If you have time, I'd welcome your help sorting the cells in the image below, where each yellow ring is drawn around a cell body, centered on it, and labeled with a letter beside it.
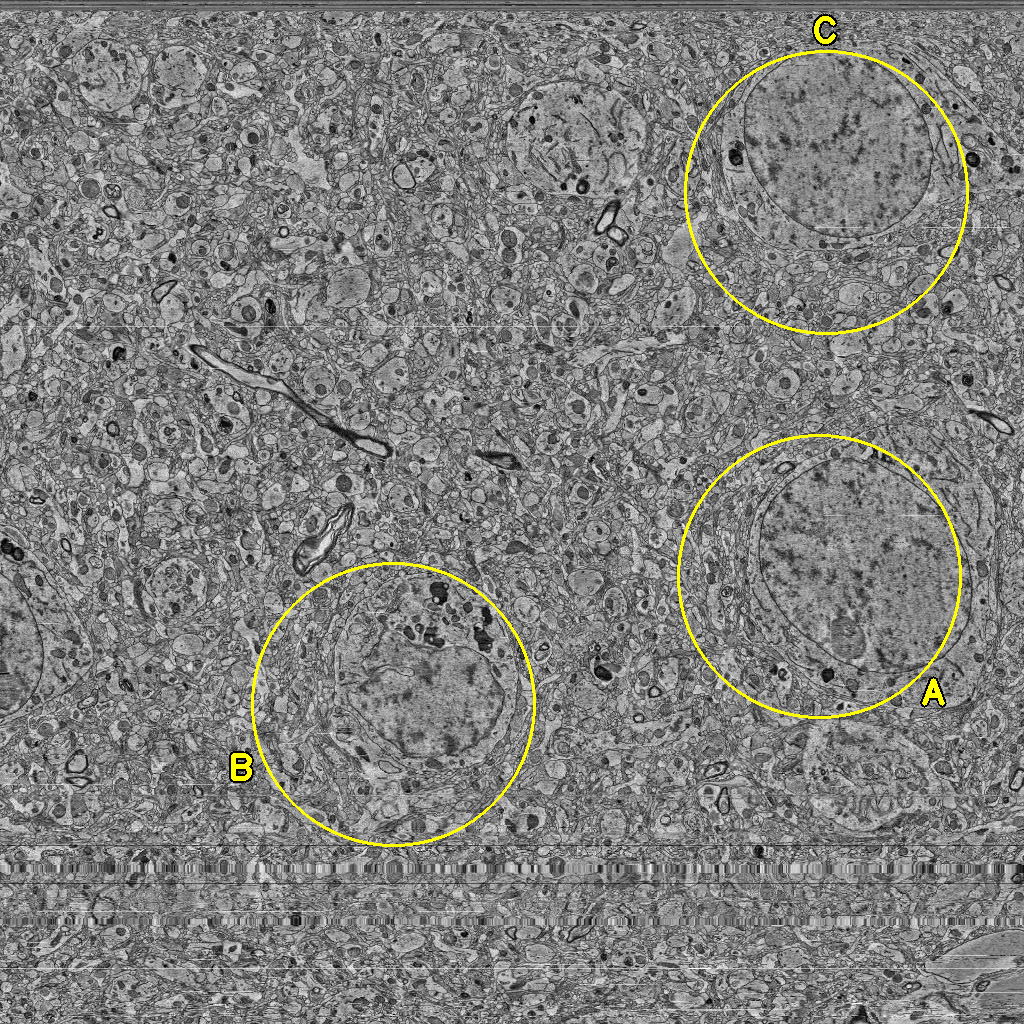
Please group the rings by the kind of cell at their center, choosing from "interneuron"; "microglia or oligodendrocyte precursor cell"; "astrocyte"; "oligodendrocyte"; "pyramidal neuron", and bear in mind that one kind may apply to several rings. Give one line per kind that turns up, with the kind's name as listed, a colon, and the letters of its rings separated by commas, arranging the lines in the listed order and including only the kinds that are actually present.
interneuron: B
pyramidal neuron: A, C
